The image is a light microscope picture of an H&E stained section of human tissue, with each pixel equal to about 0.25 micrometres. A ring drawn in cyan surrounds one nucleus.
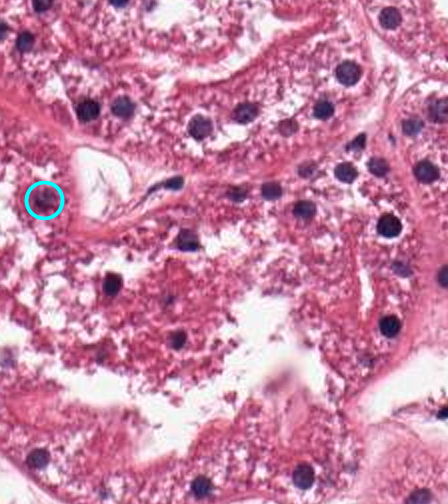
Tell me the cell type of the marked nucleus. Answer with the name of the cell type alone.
proximal tubule cell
